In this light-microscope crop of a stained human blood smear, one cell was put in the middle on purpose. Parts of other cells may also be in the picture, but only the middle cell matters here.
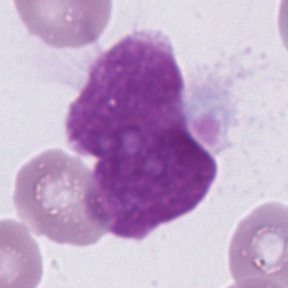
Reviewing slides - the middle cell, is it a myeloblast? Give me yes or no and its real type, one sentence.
No, what is seen at the centre is a smudge cell instead of a myeloblast.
